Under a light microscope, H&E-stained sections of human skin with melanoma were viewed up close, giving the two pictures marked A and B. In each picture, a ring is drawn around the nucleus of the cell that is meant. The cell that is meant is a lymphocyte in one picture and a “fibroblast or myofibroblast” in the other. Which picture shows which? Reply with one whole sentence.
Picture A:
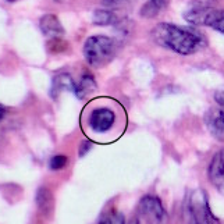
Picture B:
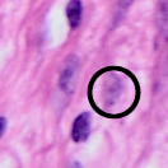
It is picture A that shows a lymphocyte, and picture B that shows a “fibroblast or myofibroblast”.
